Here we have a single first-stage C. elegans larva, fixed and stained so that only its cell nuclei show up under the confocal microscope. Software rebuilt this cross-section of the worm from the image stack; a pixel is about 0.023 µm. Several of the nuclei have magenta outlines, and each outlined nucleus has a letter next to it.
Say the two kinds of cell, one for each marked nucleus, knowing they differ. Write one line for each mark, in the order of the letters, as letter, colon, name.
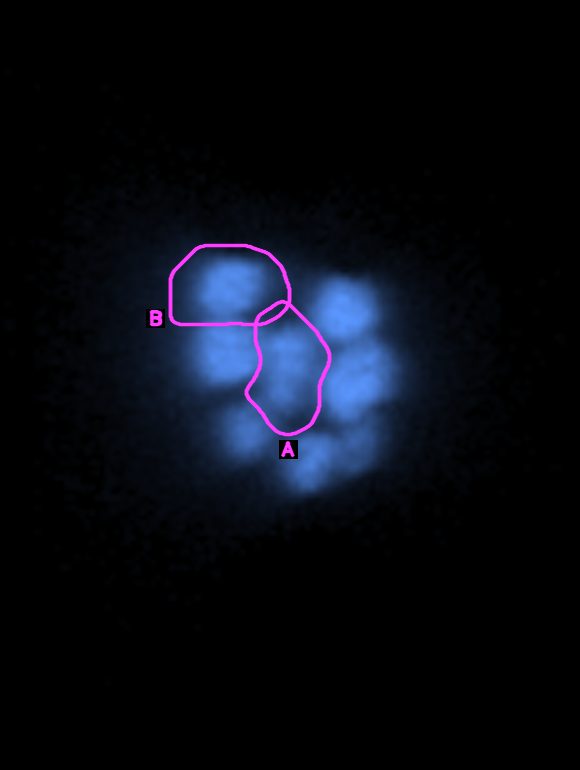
A: rectal epithelial cell
B: neuron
